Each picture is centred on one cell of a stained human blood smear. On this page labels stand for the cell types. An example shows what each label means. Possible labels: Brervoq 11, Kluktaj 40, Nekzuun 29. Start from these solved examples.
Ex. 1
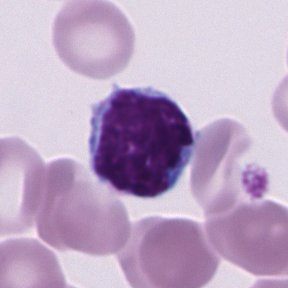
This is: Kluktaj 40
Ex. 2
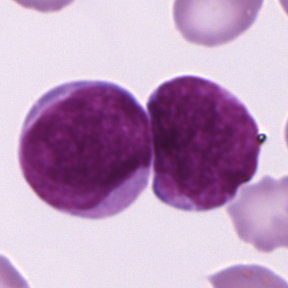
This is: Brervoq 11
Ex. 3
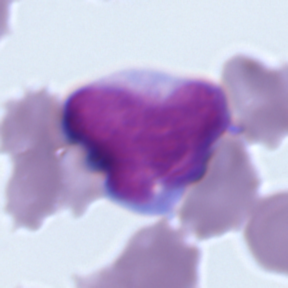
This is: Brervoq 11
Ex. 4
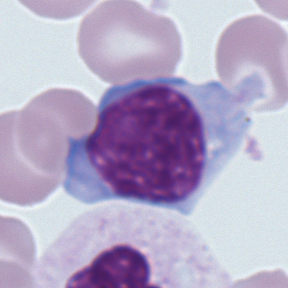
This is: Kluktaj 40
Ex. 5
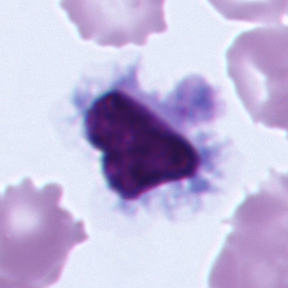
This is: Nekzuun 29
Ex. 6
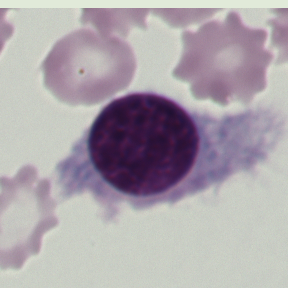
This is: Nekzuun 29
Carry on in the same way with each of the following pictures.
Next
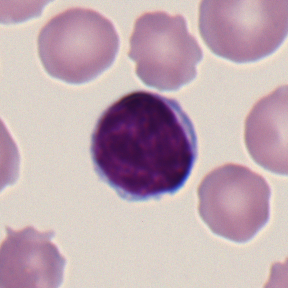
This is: Kluktaj 40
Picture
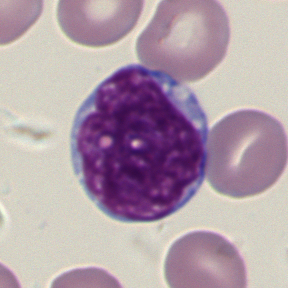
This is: Brervoq 11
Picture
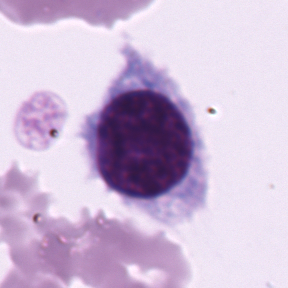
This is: Nekzuun 29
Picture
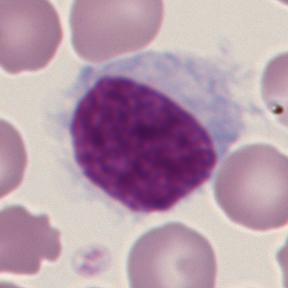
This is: Nekzuun 29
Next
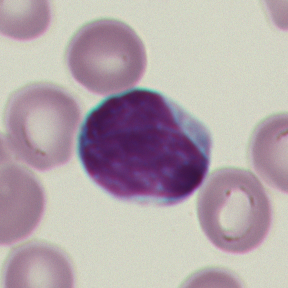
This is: Kluktaj 40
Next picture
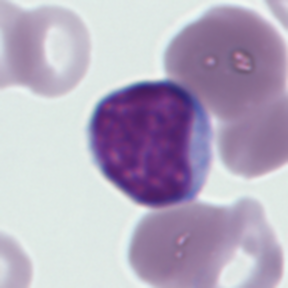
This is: Kluktaj 40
